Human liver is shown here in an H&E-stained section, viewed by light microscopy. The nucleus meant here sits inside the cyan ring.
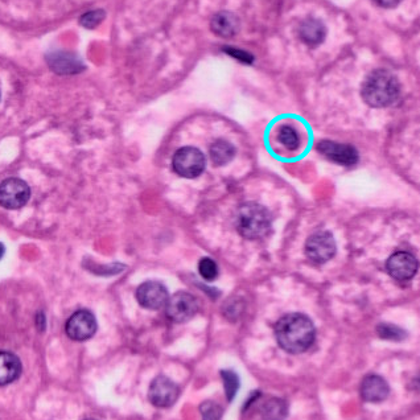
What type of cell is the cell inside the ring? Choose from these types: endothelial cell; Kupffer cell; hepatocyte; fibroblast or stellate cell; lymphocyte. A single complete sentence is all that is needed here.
On this particular slide, the cell inside the ring is a lymphocyte.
